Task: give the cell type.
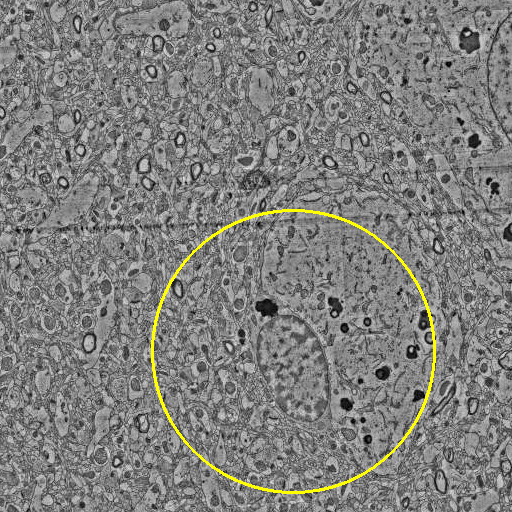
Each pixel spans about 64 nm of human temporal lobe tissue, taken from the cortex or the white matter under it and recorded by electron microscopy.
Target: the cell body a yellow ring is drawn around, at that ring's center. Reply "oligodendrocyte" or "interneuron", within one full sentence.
In this picture, the cell whose body lies at the ring's center is an oligodendrocyte.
